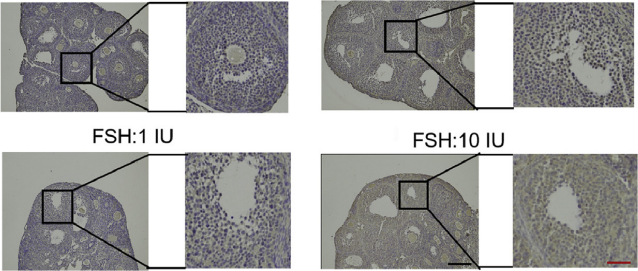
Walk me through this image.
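Low-power sections of a small ovary are crowded with rounded follicles of varied size lying in a compact stroma. The cavity and the packed cells around it mark antral follicles lined by granulosa cells, with a faint brownish tint over the tissue in some sections.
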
